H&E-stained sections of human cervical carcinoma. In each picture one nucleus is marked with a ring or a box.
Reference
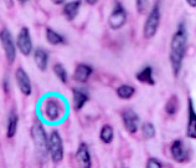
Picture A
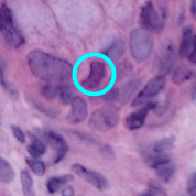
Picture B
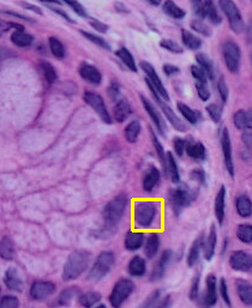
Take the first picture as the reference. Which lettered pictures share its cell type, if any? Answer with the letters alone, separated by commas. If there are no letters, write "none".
none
